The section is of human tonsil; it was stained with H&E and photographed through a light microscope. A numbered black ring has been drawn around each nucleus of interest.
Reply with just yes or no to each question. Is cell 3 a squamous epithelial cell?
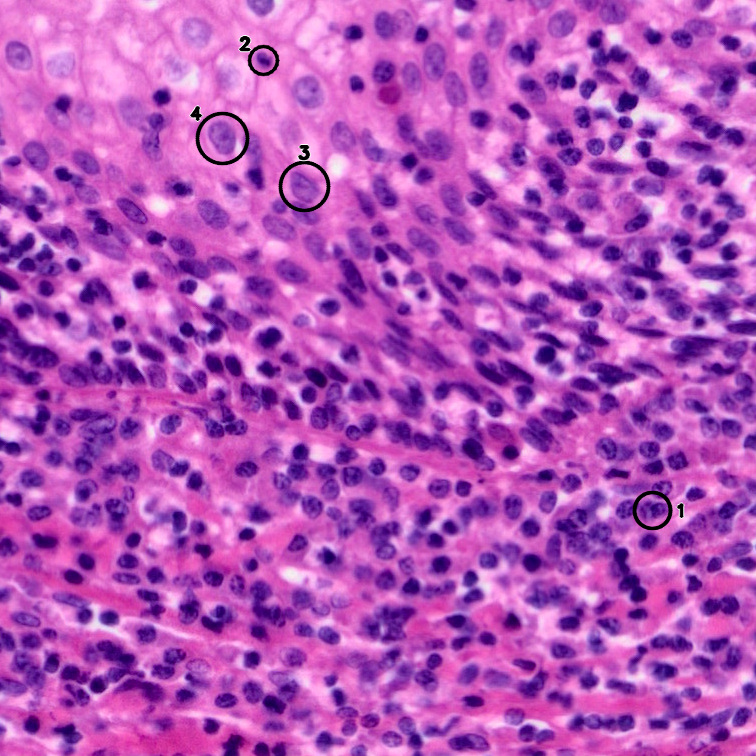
yes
